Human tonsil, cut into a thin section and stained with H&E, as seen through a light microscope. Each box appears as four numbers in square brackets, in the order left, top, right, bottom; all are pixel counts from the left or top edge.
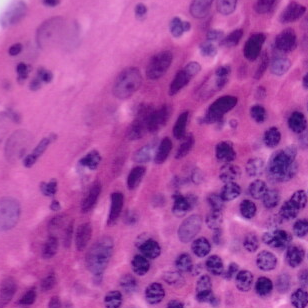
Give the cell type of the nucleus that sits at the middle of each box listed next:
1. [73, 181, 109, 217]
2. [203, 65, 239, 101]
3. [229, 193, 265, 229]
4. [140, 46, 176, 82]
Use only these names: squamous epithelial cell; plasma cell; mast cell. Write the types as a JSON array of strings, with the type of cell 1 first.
["squamous epithelial cell", "squamous epithelial cell", "plasma cell", "squamous epithelial cell"]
